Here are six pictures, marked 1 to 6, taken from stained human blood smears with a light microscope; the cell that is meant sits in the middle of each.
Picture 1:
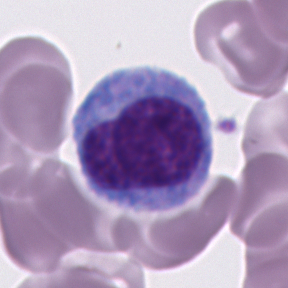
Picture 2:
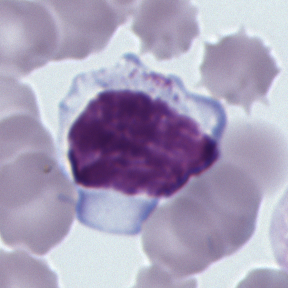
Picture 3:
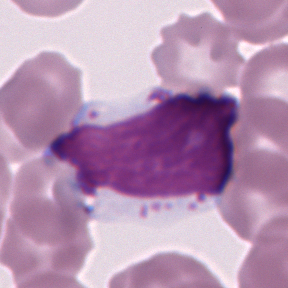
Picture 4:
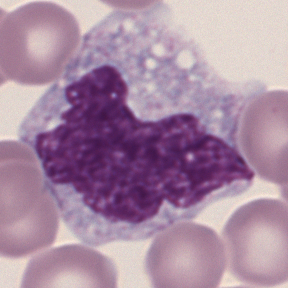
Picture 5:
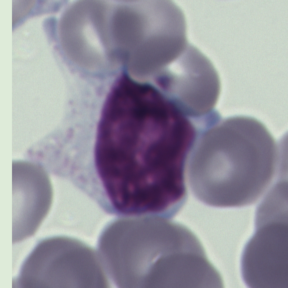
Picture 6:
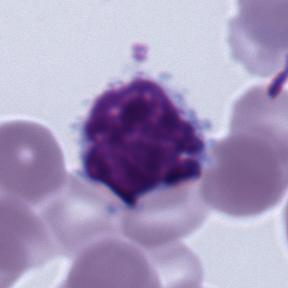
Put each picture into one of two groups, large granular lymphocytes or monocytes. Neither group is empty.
1: monocyte
2: large granular lymphocyte
3: large granular lymphocyte
4: monocyte
5: large granular lymphocyte
6: large granular lymphocyte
